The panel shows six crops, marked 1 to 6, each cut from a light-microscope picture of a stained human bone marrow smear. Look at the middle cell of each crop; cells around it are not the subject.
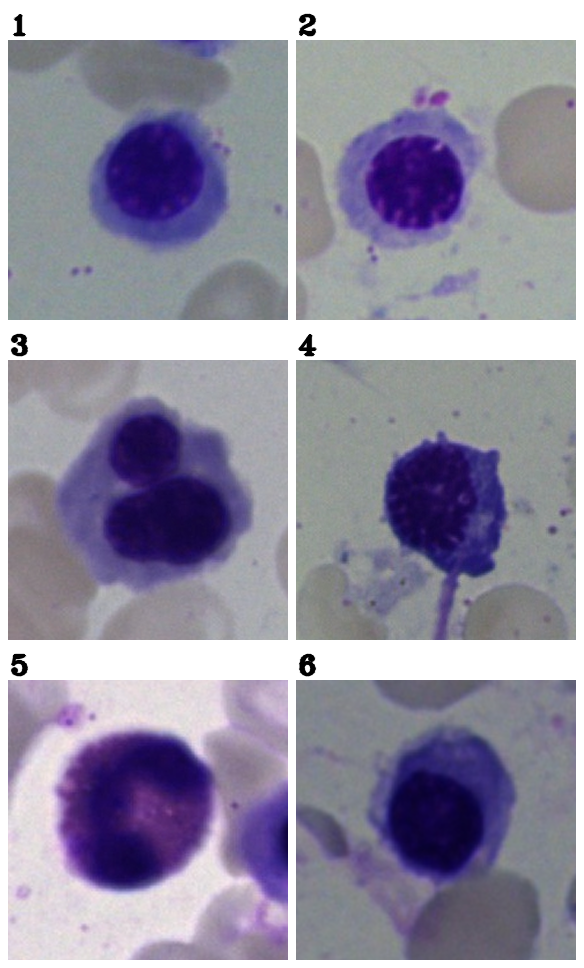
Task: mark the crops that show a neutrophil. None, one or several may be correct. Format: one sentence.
Missing from all of the crops is a neutrophil.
